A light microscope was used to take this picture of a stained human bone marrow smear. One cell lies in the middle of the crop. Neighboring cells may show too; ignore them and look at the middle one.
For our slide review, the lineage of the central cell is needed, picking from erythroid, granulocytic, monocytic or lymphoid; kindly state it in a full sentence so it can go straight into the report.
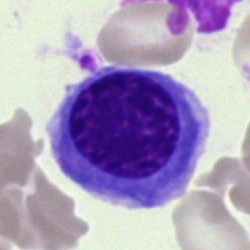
What the central cell belongs to is the erythroid lineage.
